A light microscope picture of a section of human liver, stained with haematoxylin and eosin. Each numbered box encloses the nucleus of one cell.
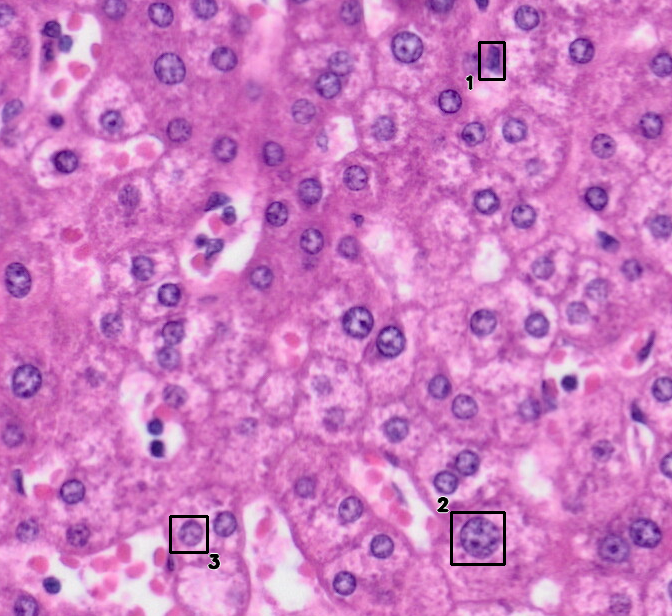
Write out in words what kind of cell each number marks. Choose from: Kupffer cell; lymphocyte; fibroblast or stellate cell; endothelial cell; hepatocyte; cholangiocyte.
Cell 1 is a fibroblast or stellate cell. Cells 2 and 3 are hepatocytes.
